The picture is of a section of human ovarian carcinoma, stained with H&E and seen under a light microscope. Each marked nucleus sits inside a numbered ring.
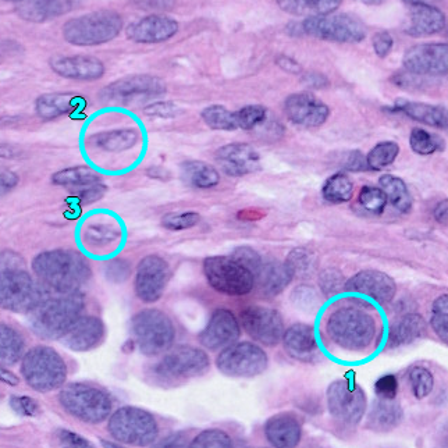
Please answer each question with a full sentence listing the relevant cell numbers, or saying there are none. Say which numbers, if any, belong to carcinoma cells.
Of all the numbered cells, only one is a carcinoma cell, and that is cell 1.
